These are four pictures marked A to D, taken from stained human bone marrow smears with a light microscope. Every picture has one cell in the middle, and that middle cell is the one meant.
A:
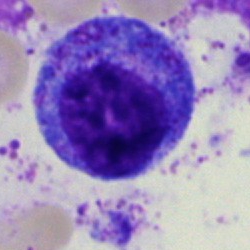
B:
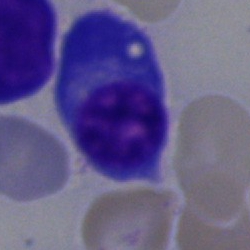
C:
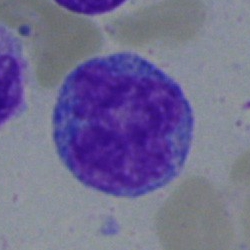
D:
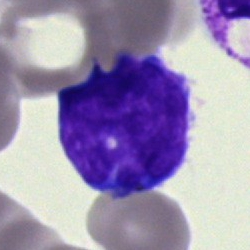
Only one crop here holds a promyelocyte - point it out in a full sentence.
Crop A, and no other, shows a promyelocyte.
